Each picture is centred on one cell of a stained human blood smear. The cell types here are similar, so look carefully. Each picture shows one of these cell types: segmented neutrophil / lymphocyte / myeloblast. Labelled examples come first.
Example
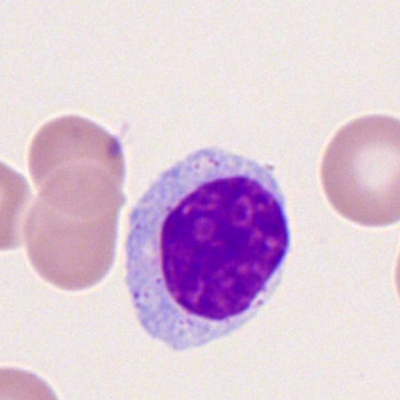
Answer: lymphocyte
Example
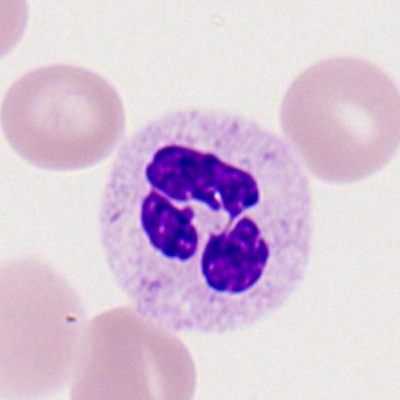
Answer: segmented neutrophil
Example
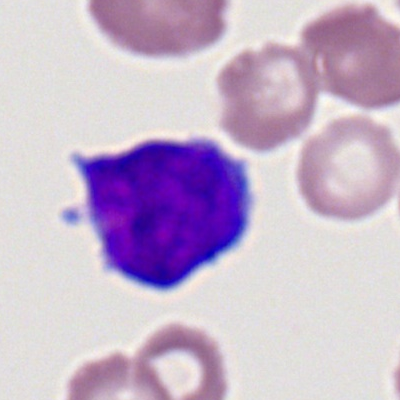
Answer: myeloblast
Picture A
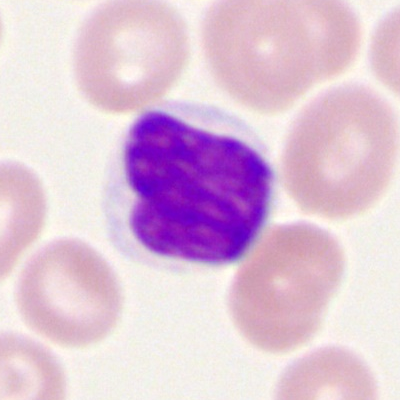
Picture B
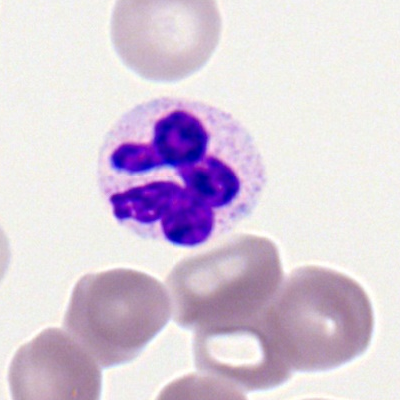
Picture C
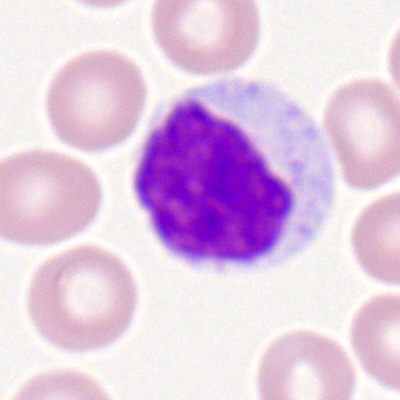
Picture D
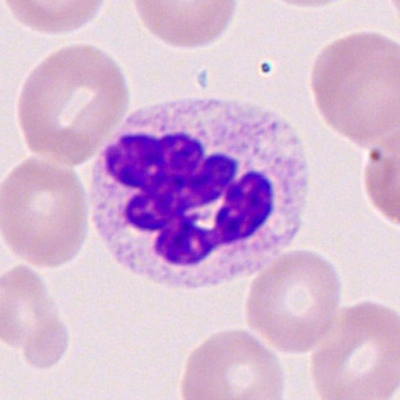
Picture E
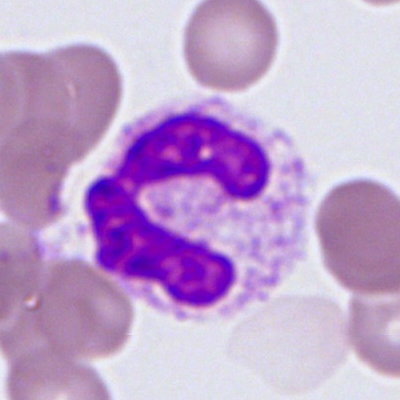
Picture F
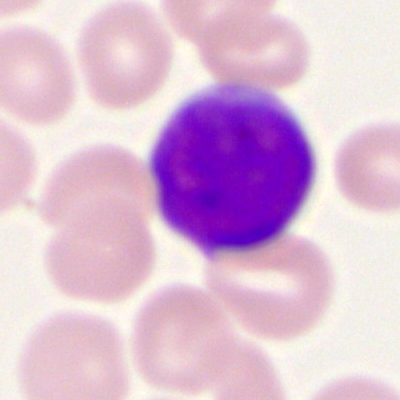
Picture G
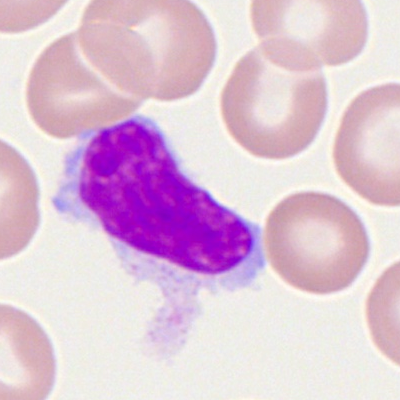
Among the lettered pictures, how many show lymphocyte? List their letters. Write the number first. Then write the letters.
Count: 3 (A, C, G)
